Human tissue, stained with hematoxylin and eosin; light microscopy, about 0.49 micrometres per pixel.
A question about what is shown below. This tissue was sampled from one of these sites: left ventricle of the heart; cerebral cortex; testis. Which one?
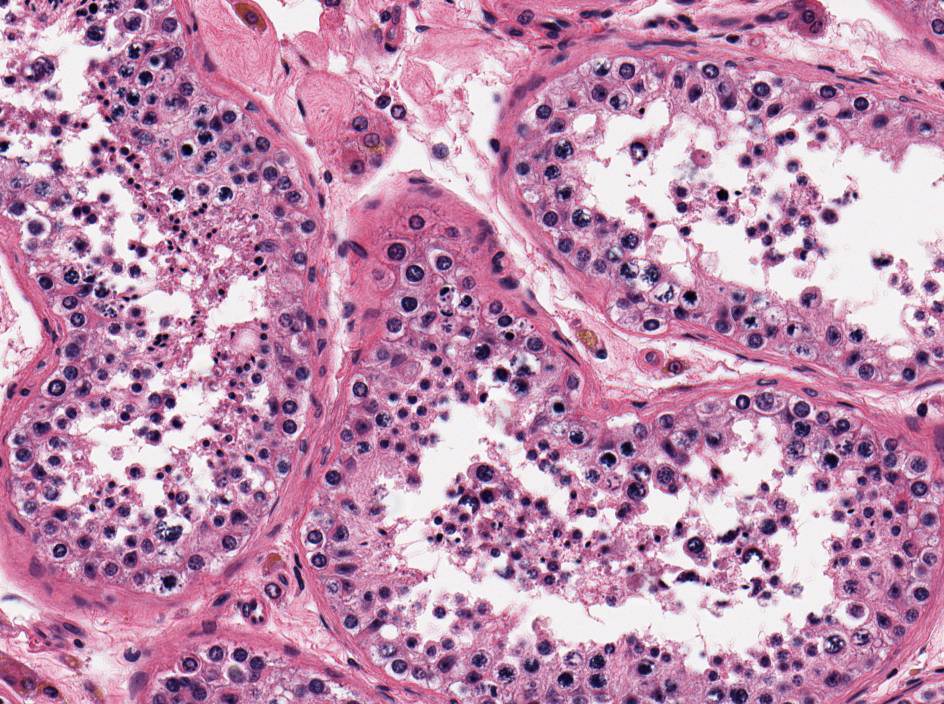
testis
